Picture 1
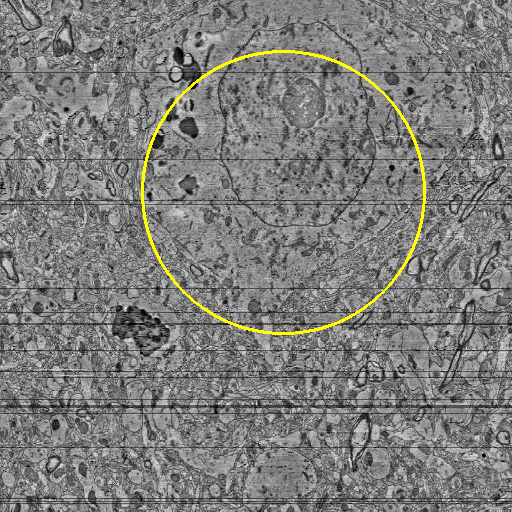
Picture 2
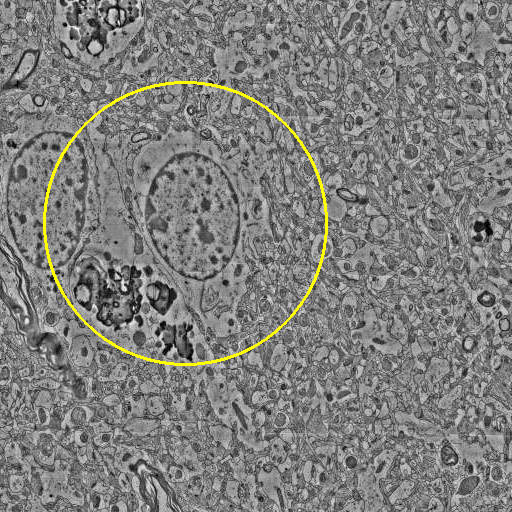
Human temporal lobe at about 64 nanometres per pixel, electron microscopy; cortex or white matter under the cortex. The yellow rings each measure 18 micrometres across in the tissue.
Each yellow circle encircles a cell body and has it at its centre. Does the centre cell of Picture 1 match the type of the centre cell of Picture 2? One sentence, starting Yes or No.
No, the cell centred in Picture 1 and the one in Picture 2 have separate types.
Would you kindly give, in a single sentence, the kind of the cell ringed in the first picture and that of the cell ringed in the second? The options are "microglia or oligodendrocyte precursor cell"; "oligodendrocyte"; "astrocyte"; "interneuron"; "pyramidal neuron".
The second cell is an astrocyte, and the first cell is a pyramidal neuron.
